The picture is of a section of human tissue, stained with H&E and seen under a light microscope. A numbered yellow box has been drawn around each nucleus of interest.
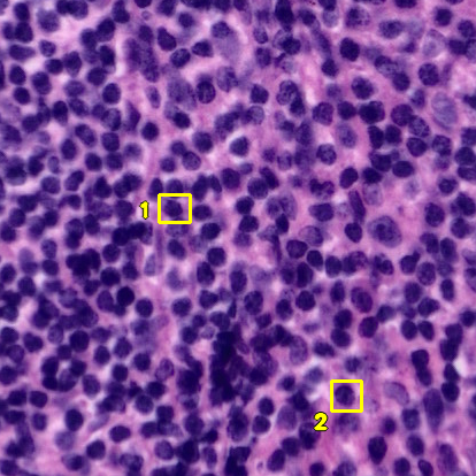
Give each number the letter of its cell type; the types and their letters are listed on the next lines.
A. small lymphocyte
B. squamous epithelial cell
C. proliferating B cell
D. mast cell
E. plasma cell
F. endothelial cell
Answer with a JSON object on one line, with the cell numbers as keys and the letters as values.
{"1": "A", "2": "E"}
